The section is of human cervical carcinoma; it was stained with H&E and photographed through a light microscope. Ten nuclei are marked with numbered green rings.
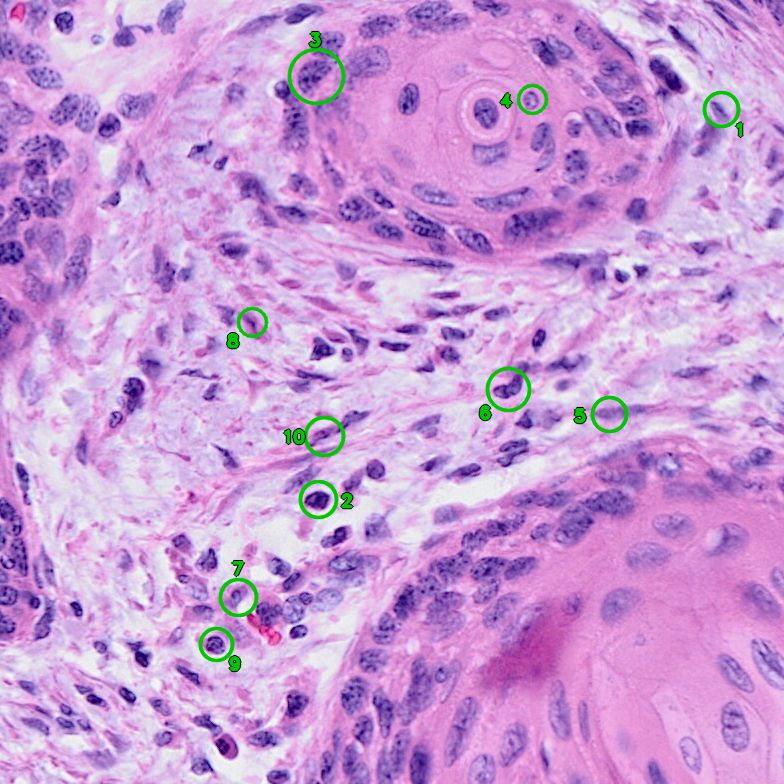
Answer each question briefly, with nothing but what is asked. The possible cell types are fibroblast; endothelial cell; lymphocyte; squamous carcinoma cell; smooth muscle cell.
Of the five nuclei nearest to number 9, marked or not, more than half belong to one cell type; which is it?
endothelial cell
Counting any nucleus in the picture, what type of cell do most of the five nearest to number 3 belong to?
squamous carcinoma cell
